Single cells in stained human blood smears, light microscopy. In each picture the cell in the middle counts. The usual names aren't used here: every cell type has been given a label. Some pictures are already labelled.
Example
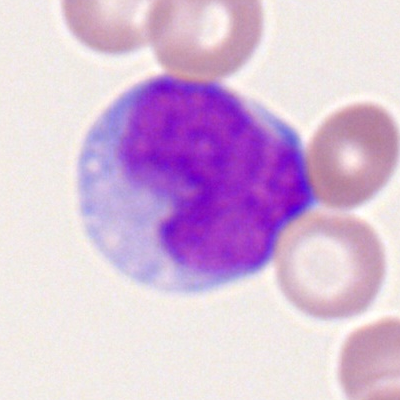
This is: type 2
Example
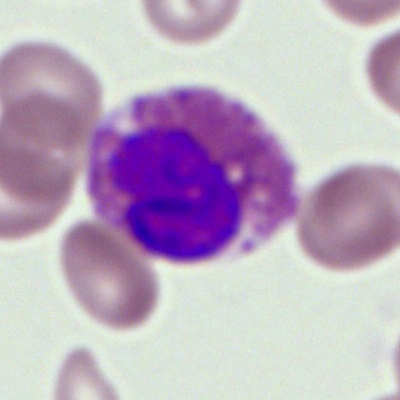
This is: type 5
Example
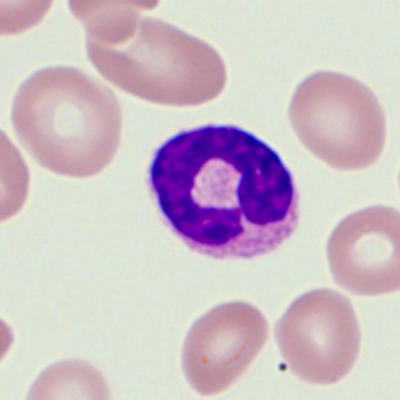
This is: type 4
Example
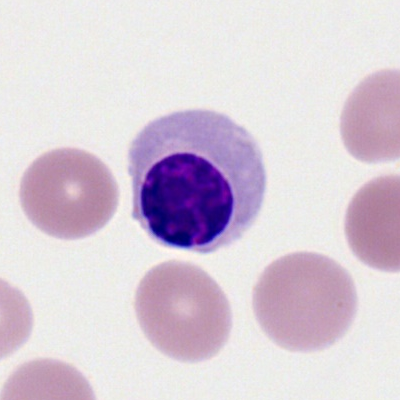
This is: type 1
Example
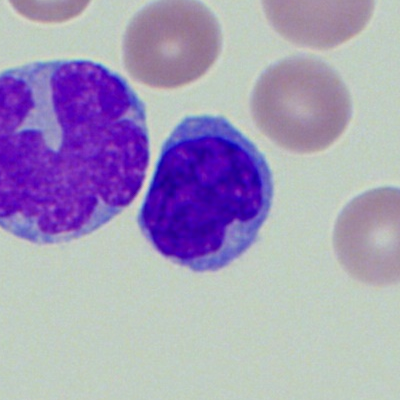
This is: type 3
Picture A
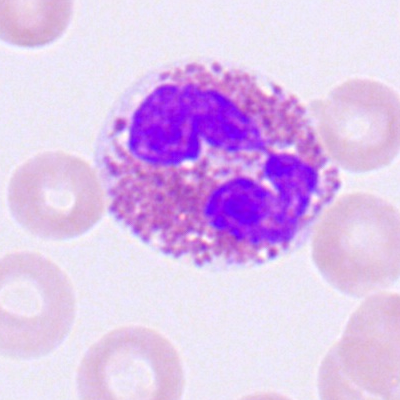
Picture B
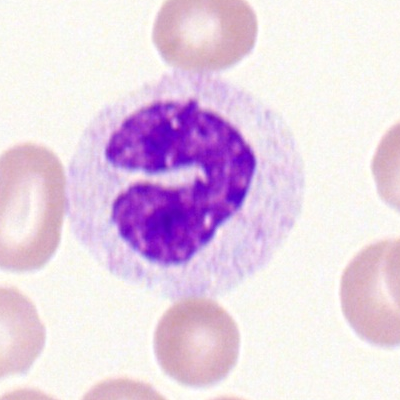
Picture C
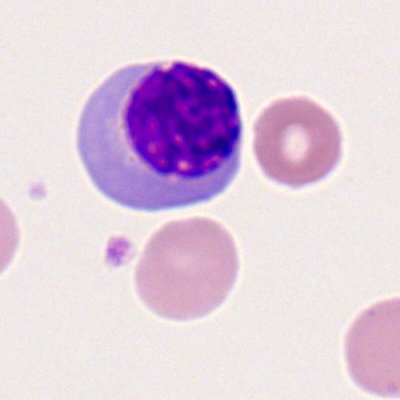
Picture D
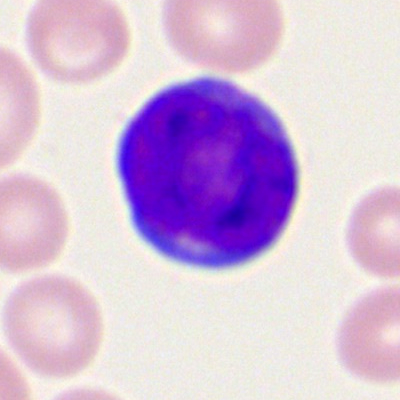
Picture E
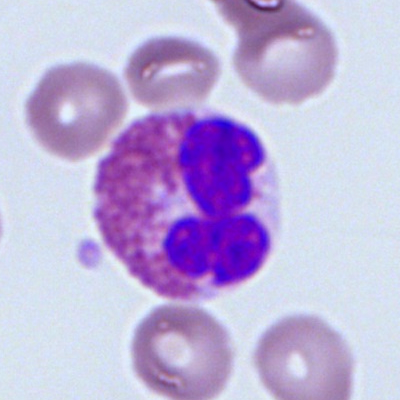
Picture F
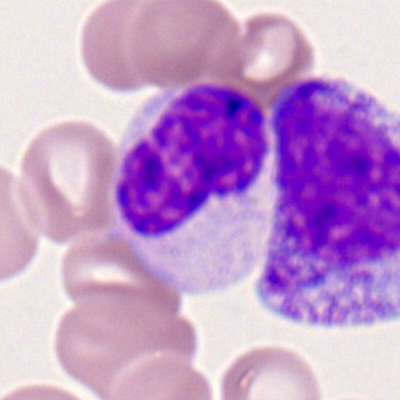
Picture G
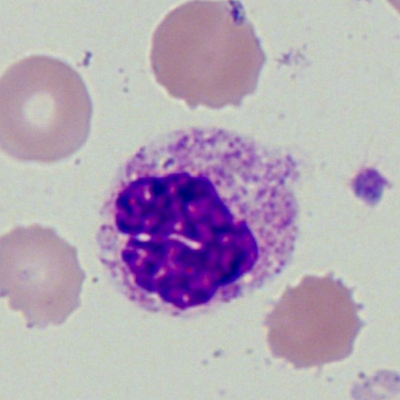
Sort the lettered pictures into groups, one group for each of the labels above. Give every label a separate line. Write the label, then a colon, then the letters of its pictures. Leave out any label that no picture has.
type 2: D
type 5: A, E
type 4: B, F, G
type 1: C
